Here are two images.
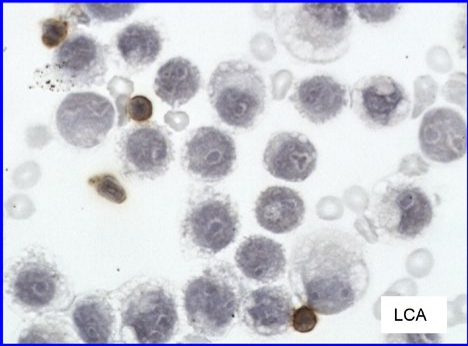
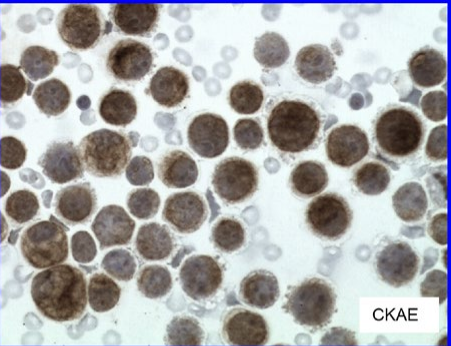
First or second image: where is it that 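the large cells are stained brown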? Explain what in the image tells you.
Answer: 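First image: the large cells are unstained grey-blue, only a few small cells are brown. Second image: nearly all the large cells are stained brown.
Conclusion: the second image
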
